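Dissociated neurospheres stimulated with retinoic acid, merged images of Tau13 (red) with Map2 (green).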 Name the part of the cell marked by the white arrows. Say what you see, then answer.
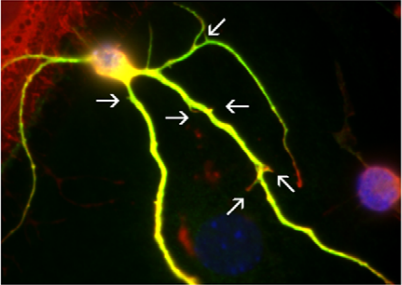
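Spiny projections. The arrows point to small side protrusions along yellow-green processes.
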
